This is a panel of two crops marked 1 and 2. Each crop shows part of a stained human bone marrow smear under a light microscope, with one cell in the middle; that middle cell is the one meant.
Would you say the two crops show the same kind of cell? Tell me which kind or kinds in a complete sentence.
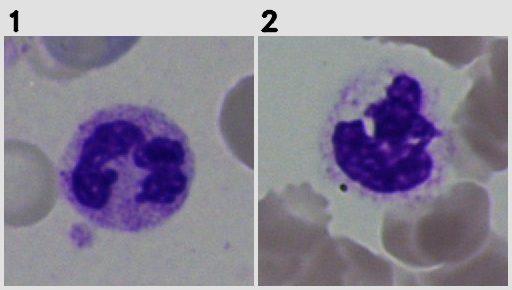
Yes, in both crops the centred cells are segmented neutrophils.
